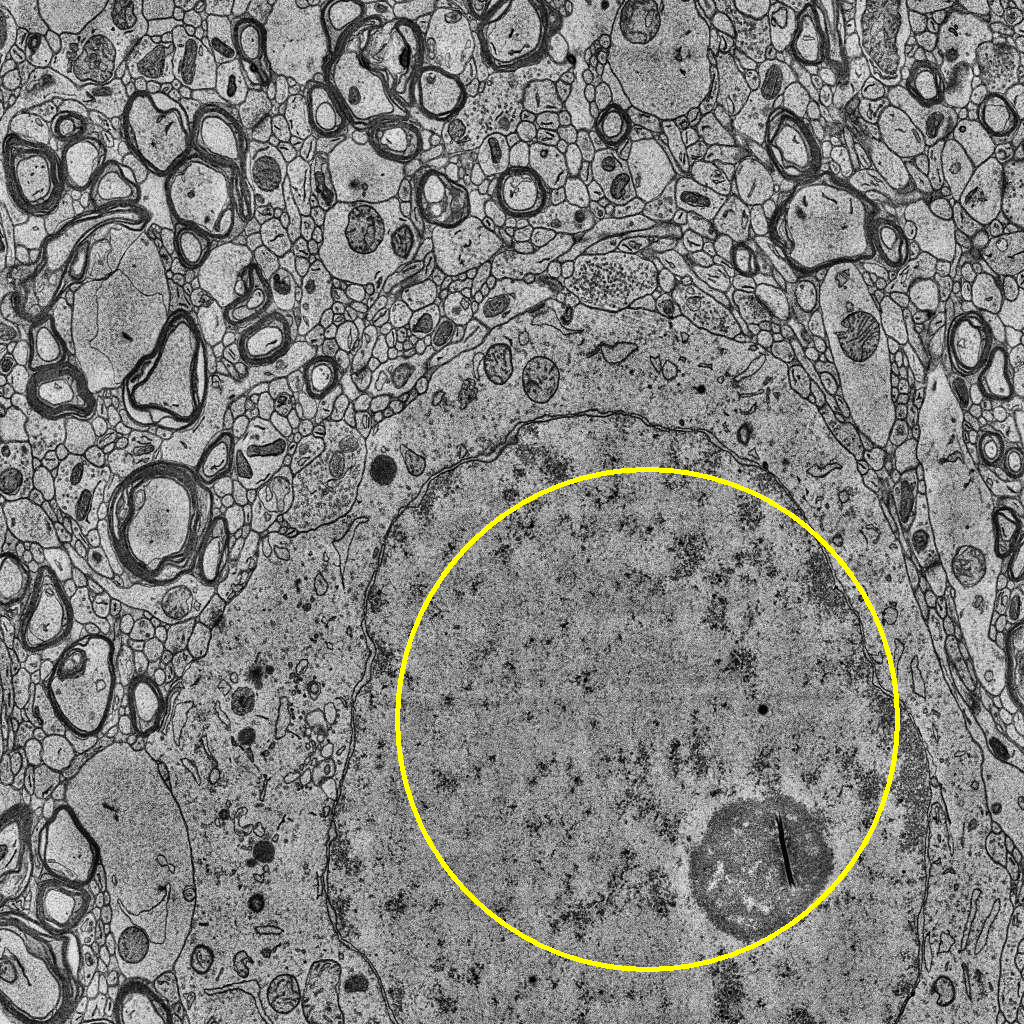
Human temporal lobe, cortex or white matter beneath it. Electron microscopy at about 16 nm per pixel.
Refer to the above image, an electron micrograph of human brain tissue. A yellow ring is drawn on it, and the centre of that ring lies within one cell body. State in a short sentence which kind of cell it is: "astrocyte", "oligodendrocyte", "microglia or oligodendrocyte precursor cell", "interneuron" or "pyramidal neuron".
The centre of the ring falls on an interneuron.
